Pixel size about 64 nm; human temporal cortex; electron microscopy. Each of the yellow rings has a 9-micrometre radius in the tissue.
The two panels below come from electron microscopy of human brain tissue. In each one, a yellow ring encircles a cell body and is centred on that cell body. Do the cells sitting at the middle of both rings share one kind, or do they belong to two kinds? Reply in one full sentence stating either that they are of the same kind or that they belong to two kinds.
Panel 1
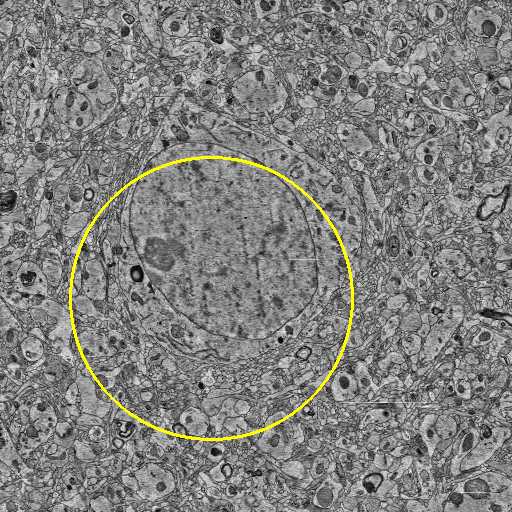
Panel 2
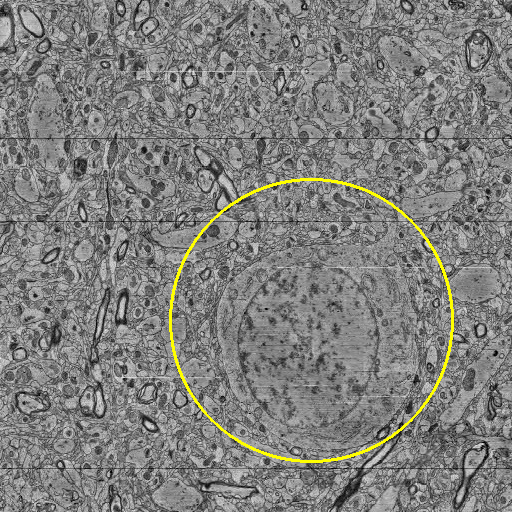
The cells at the centres of the two rings belong to two kinds.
